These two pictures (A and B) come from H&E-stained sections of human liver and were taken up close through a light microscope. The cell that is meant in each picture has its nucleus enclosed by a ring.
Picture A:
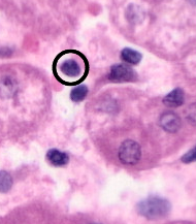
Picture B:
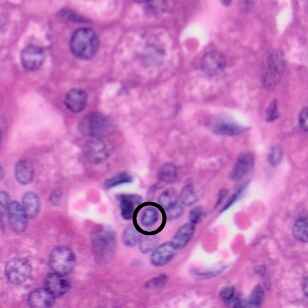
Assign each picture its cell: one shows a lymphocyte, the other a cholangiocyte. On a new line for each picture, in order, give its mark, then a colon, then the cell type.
A: lymphocyte
B: cholangiocyte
